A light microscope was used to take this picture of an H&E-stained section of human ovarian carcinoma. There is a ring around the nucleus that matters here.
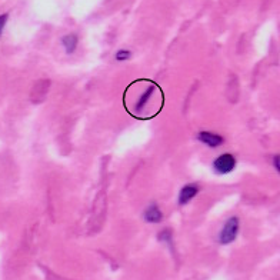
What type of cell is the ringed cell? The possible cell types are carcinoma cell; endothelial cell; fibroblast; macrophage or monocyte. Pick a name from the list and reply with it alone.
fibroblast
